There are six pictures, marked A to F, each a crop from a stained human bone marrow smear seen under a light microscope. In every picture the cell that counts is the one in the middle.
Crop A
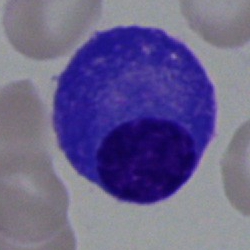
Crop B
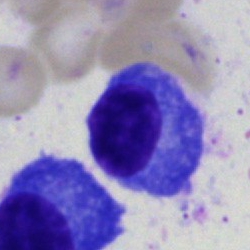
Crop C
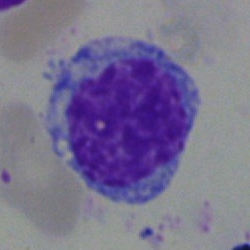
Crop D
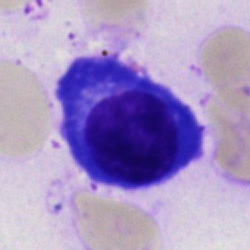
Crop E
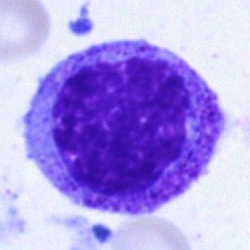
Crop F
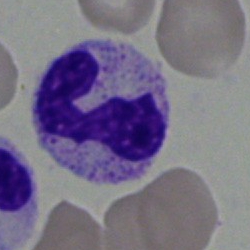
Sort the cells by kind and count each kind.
plasma cell: 4
promyelocyte: 1
band neutrophil: 1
